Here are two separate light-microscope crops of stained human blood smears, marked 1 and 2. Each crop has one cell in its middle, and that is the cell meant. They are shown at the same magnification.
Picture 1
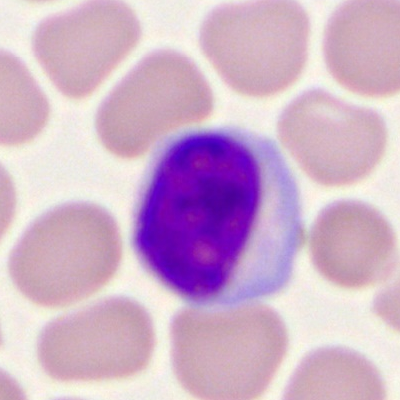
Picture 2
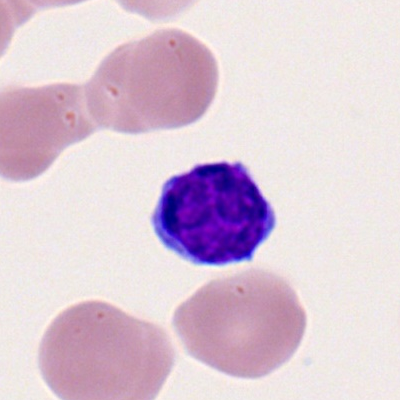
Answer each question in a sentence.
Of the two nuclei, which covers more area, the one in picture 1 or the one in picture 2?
Larger is the nucleus in picture 1, at roughly 1.5 times the area of the other.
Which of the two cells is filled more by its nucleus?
In picture 2 the nucleus takes up the larger part of its cell.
